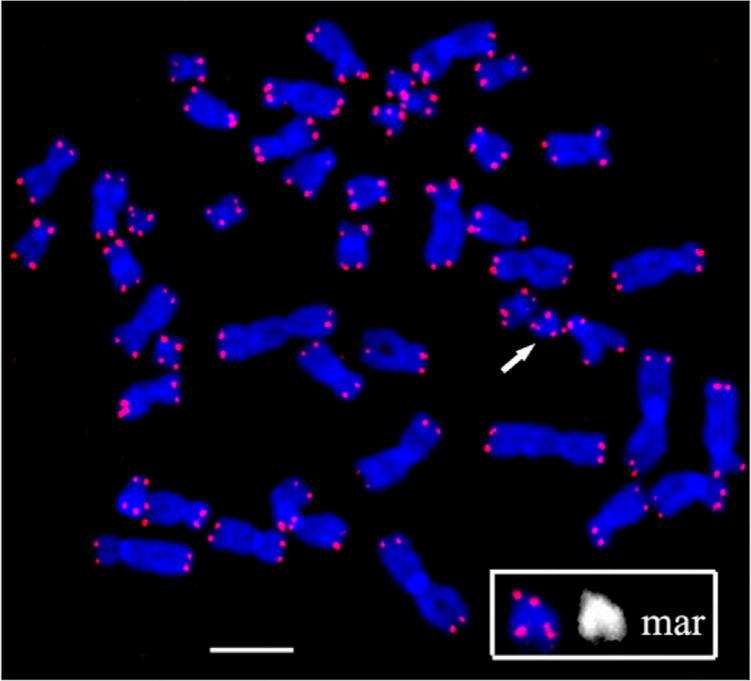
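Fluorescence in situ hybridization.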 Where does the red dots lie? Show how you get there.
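Telomeric. Red dots sit at both ends of each chromosome. Paired dots mark the tips of both sister chromatids.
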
